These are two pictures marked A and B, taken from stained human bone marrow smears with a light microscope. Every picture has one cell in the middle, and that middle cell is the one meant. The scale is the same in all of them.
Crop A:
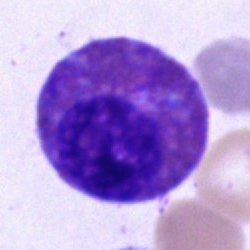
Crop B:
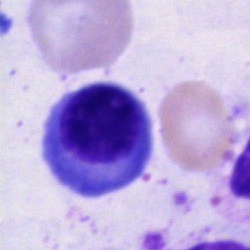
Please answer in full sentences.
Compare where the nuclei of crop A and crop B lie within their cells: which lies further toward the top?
It is the nucleus in crop B that lies further toward the top of its cell.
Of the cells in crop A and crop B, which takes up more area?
Crop A holds the larger cell; it covers about 2.5 times the area of the cell in crop B.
